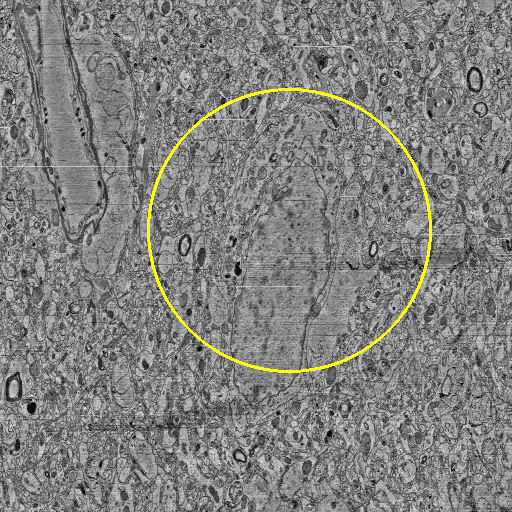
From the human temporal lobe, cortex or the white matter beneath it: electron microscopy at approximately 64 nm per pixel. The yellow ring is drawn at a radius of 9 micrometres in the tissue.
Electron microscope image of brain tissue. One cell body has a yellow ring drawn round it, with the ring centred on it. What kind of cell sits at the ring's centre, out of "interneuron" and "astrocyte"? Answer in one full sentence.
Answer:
It is an interneuron whose cell body sits at the centre of the yellow ring.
